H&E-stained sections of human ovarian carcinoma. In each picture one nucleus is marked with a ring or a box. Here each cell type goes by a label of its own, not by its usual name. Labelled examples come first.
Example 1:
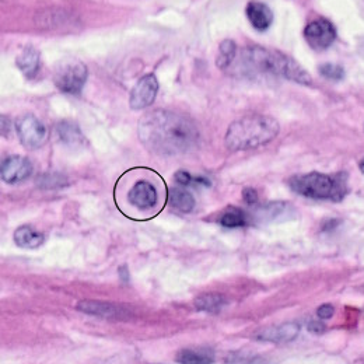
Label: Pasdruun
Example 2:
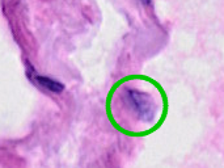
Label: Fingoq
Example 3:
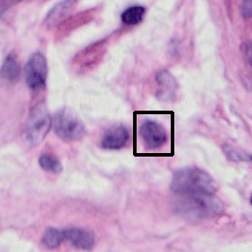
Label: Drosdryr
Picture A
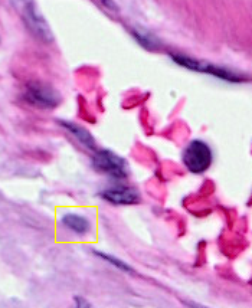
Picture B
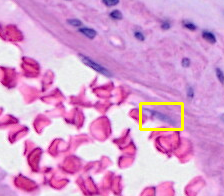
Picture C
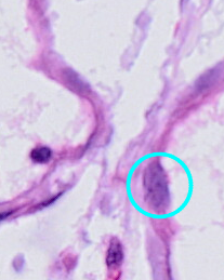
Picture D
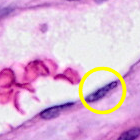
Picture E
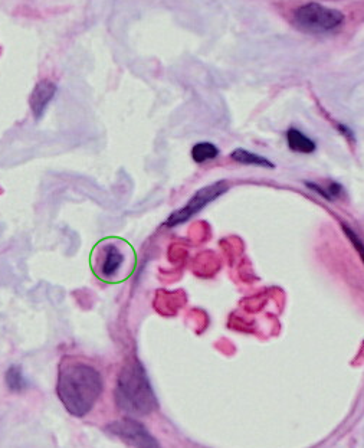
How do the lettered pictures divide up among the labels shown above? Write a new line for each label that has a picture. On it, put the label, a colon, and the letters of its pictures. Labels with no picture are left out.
Pasdruun: A
Fingoq: B, C, D
Drosdryr: E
